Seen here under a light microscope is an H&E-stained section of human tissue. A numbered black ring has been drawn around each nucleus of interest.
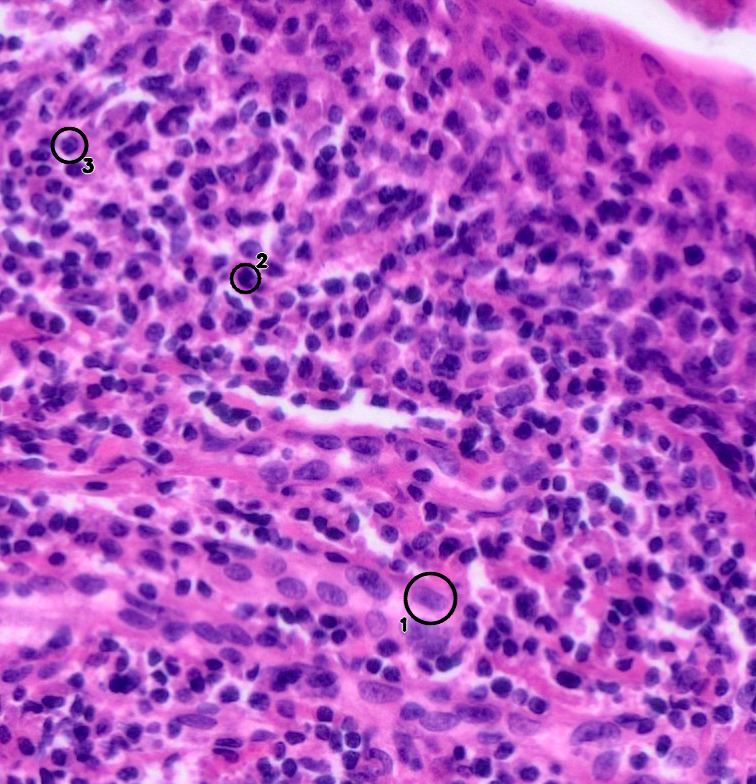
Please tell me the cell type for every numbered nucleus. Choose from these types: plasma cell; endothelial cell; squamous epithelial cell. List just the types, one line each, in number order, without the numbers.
endothelial cell
plasma cell
plasma cell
